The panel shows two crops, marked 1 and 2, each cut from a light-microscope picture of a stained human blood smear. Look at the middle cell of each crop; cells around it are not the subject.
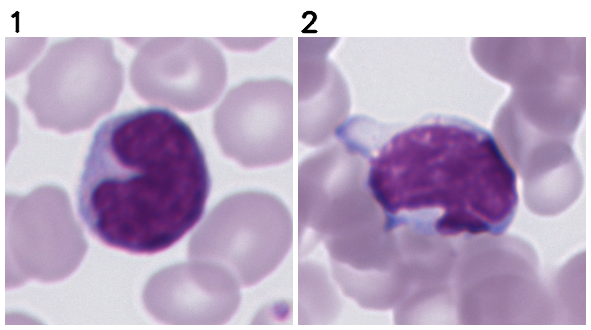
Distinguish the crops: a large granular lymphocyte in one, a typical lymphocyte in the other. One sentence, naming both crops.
The crop marked 1 shows a typical lymphocyte; the crop marked 2 shows a large granular lymphocyte.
